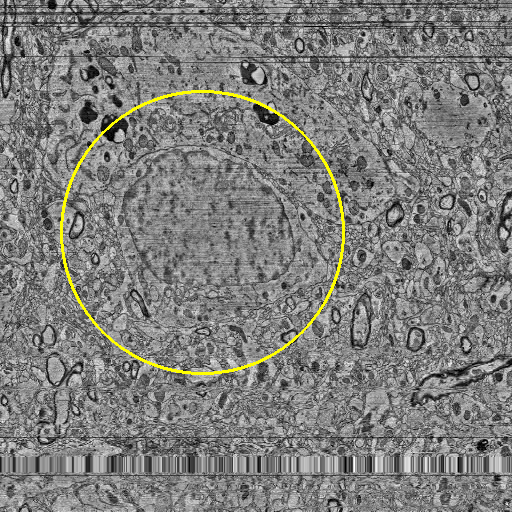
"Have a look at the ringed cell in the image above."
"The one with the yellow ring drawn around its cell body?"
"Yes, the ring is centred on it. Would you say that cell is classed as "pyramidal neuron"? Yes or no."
no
